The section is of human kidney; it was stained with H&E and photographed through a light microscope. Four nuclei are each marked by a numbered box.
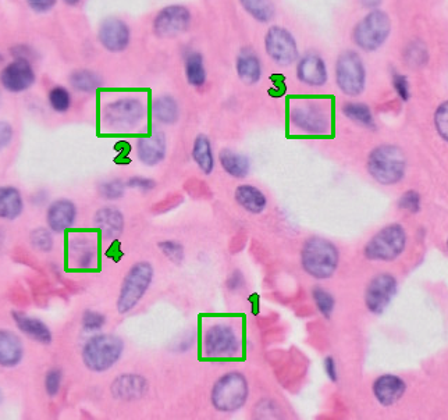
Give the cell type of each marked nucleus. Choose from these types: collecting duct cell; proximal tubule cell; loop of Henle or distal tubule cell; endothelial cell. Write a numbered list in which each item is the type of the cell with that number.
1. collecting duct cell
2. collecting duct cell
3. loop of Henle or distal tubule cell
4. collecting duct cell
